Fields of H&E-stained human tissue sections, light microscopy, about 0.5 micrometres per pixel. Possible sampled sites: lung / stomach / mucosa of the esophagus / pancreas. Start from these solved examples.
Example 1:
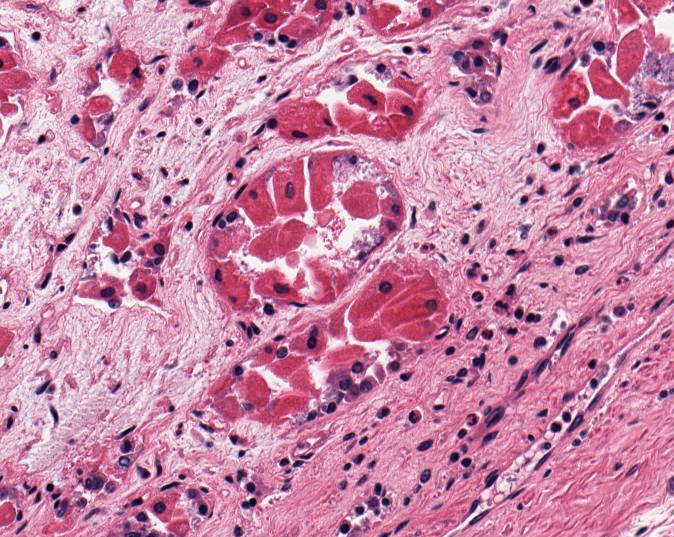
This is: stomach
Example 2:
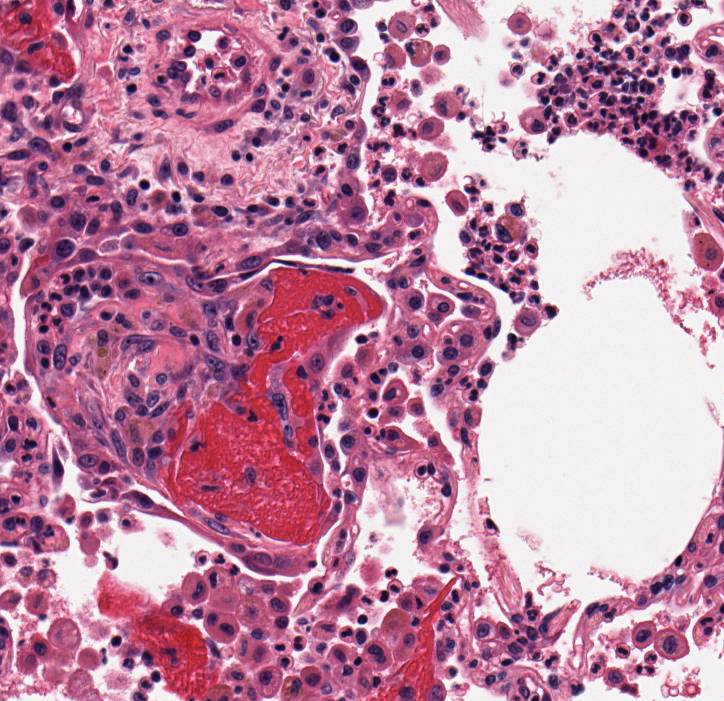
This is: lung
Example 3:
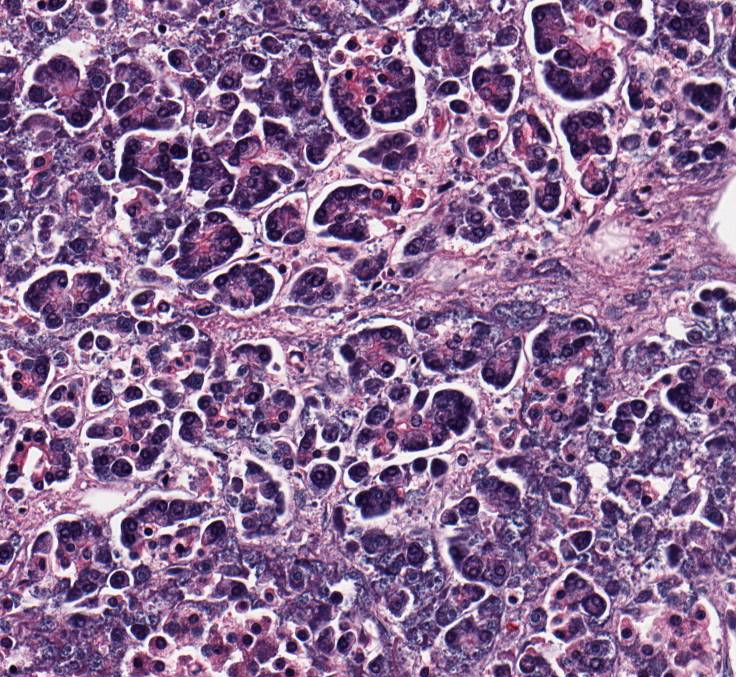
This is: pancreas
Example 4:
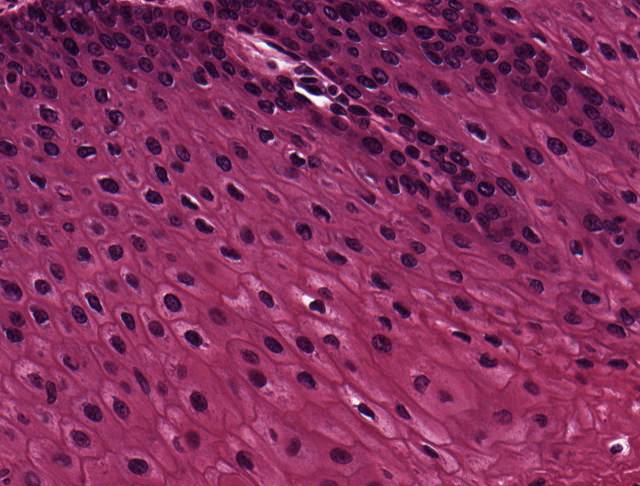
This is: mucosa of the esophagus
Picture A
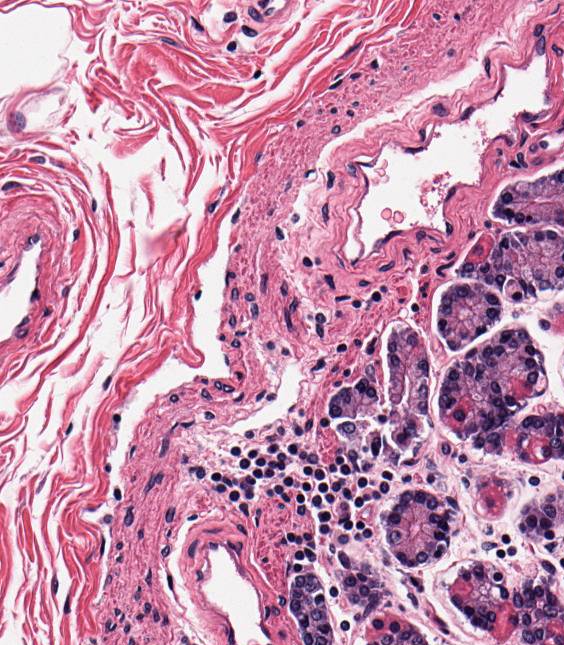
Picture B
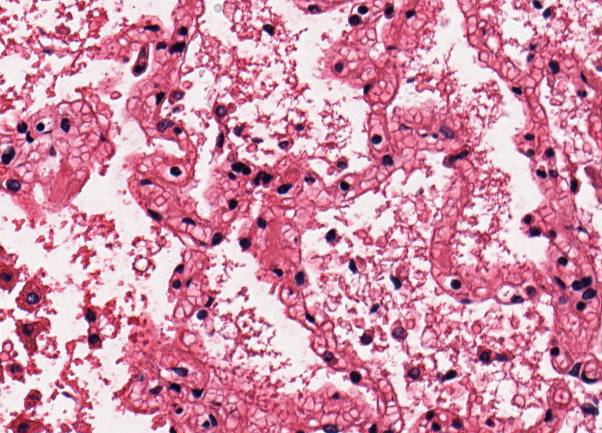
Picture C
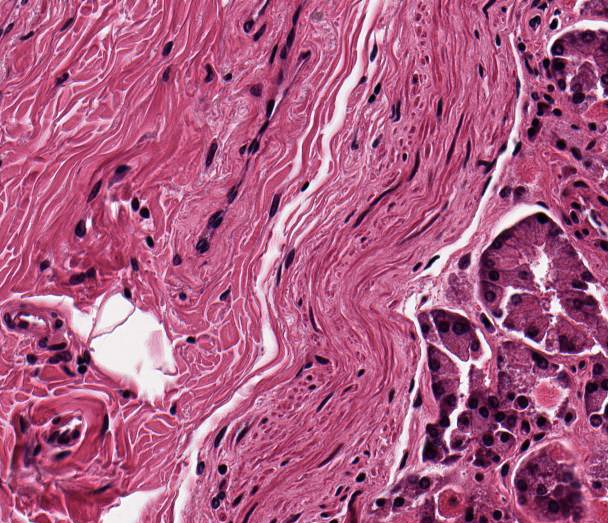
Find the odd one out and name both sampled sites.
Picture B: lung. All others: stomach.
